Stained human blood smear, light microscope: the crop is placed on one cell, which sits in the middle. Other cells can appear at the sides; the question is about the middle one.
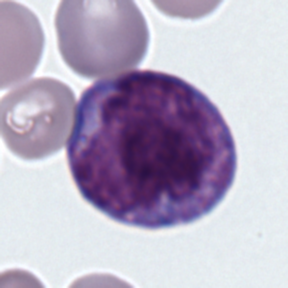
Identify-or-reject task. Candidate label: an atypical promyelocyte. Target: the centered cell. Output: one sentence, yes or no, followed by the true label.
Yes, it is an atypical promyelocyte that occupies the centre of the crop.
